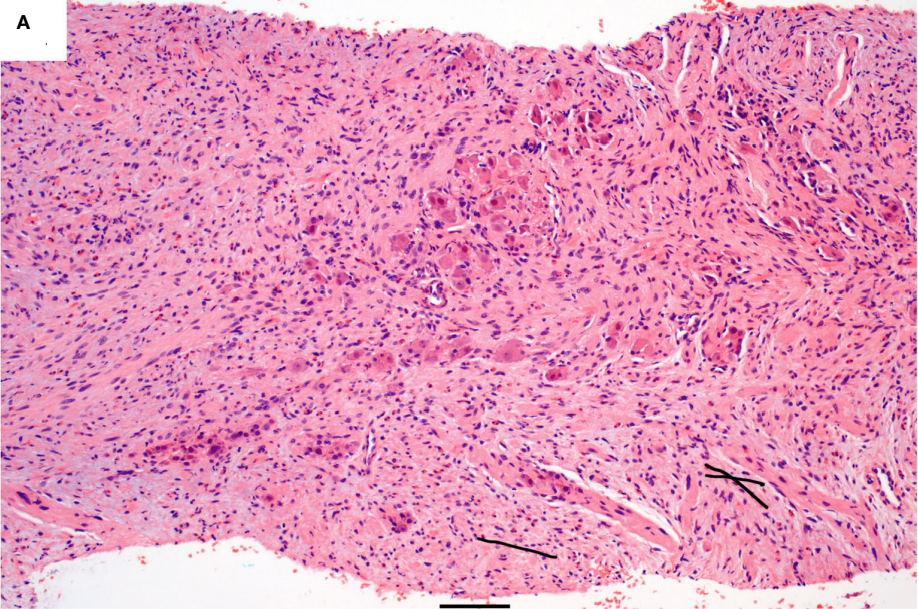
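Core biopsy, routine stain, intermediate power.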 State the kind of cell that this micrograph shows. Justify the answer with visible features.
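Spindle Schwannian cells. Most of the tissue consists of elongated spindle-shaped nuclei in a fibrillary pink stroma. Clusters of larger pink cells lie within this spindle-cell background.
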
